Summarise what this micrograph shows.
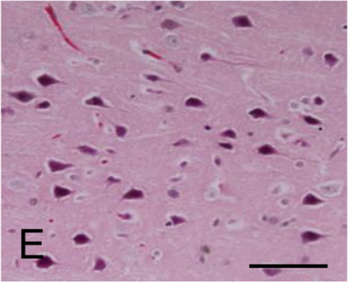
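Cerebral cortex with many neurons evenly scattered through a compact pink fibrillar neuropil. Neuronal cell bodies are triangular or pyramidal, with purple cytoplasm and some with tapering processes. Small clear spaces are few and limited to thin halos around some cells. Narrow capillaries run through the field, some containing red blood cells. No widespread vacuolation or clusters of dark shrunken nuclei are seen.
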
